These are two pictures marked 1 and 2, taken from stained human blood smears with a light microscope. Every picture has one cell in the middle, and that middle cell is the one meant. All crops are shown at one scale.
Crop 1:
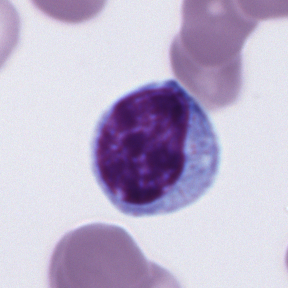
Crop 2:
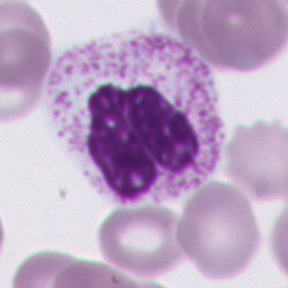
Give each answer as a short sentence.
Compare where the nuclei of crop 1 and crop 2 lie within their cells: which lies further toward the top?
It is the nucleus in crop 1 that lies further toward the top of its cell.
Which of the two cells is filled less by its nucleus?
The nucleus fills less of the cell in crop 2 than in crop 1.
